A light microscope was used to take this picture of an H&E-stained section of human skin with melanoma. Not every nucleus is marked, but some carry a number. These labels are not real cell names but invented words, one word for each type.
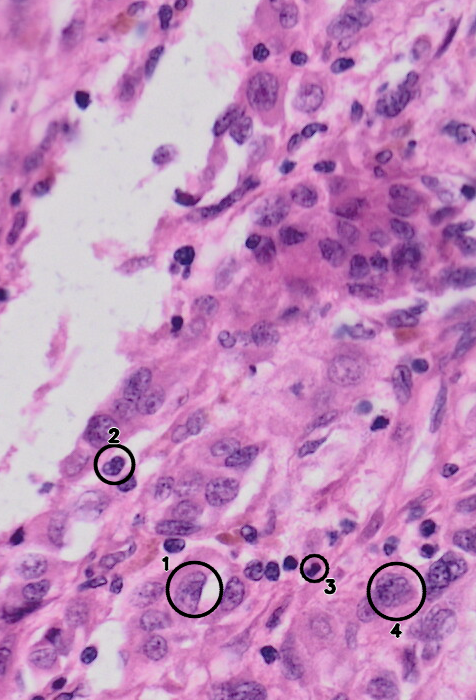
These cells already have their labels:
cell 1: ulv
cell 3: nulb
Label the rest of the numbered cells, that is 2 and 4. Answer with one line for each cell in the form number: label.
2: nulb
4: ulv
